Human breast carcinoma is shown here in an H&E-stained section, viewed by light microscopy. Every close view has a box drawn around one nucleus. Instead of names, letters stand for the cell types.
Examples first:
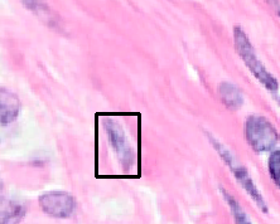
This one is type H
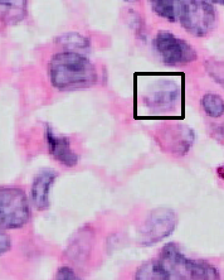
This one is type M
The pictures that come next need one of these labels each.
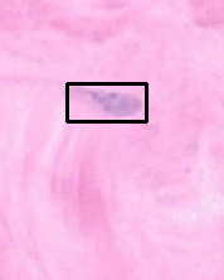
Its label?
type H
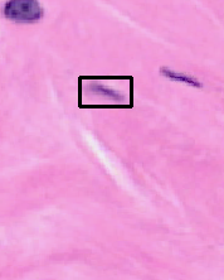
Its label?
type H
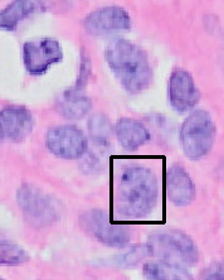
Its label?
type M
